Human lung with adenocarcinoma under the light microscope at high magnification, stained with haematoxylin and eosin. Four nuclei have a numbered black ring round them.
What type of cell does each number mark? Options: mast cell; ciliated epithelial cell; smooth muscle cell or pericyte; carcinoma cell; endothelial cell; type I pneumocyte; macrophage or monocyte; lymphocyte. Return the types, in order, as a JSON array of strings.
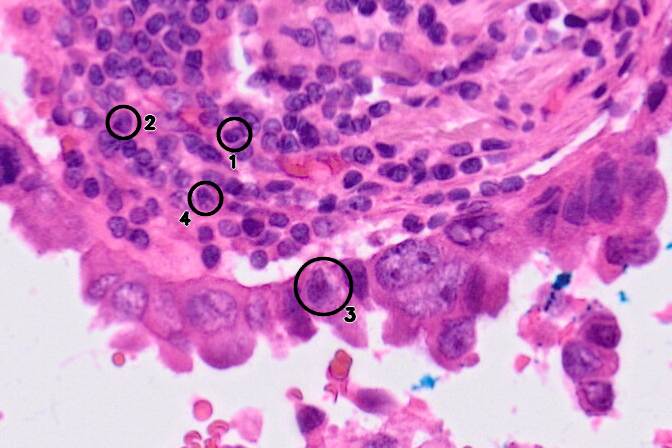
["lymphocyte", "lymphocyte", "carcinoma cell", "lymphocyte"]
